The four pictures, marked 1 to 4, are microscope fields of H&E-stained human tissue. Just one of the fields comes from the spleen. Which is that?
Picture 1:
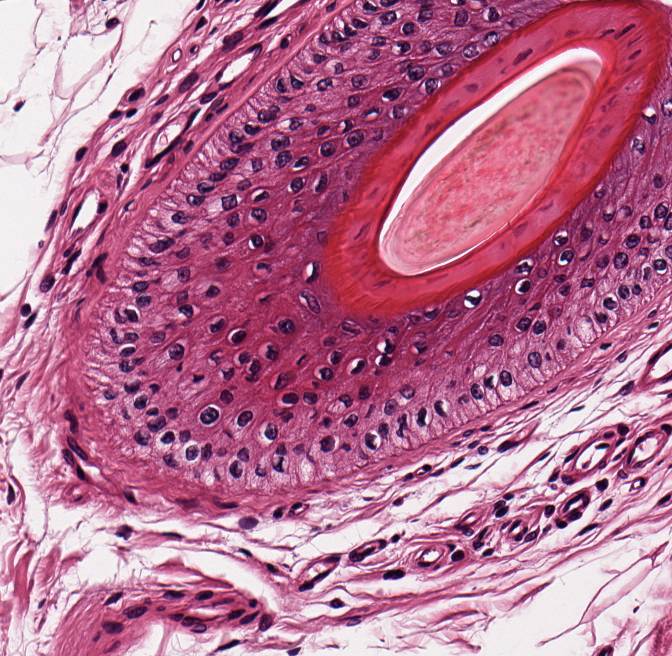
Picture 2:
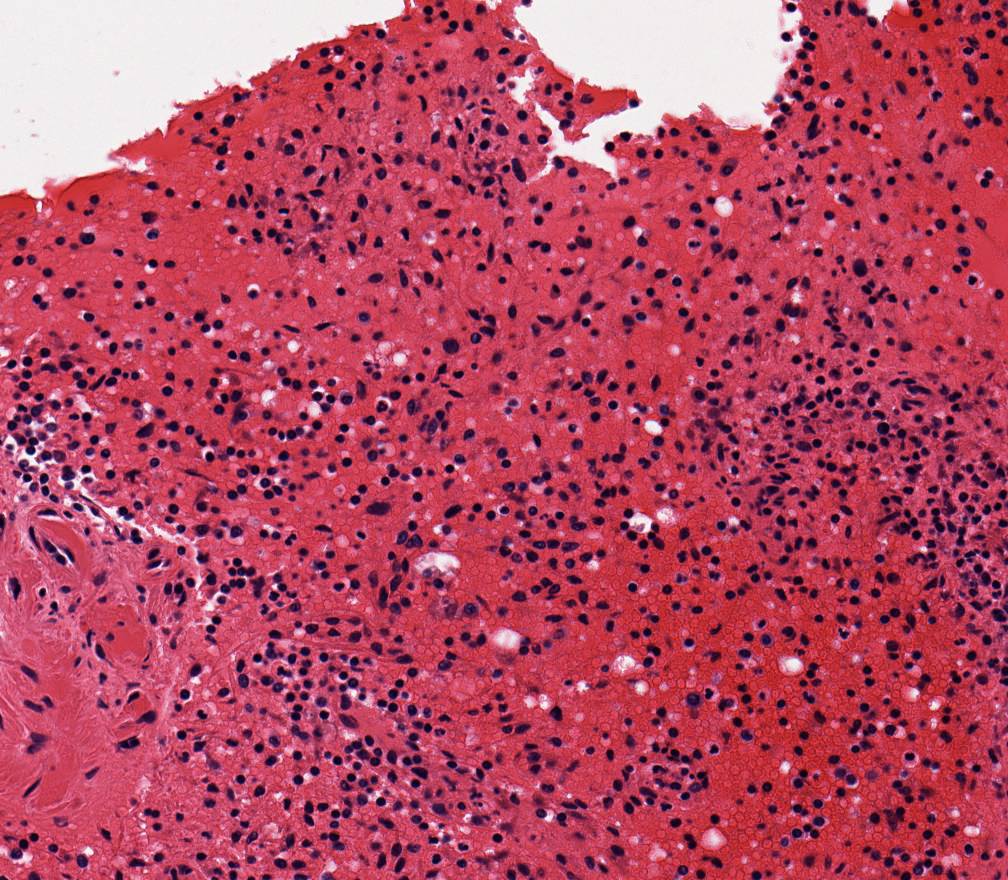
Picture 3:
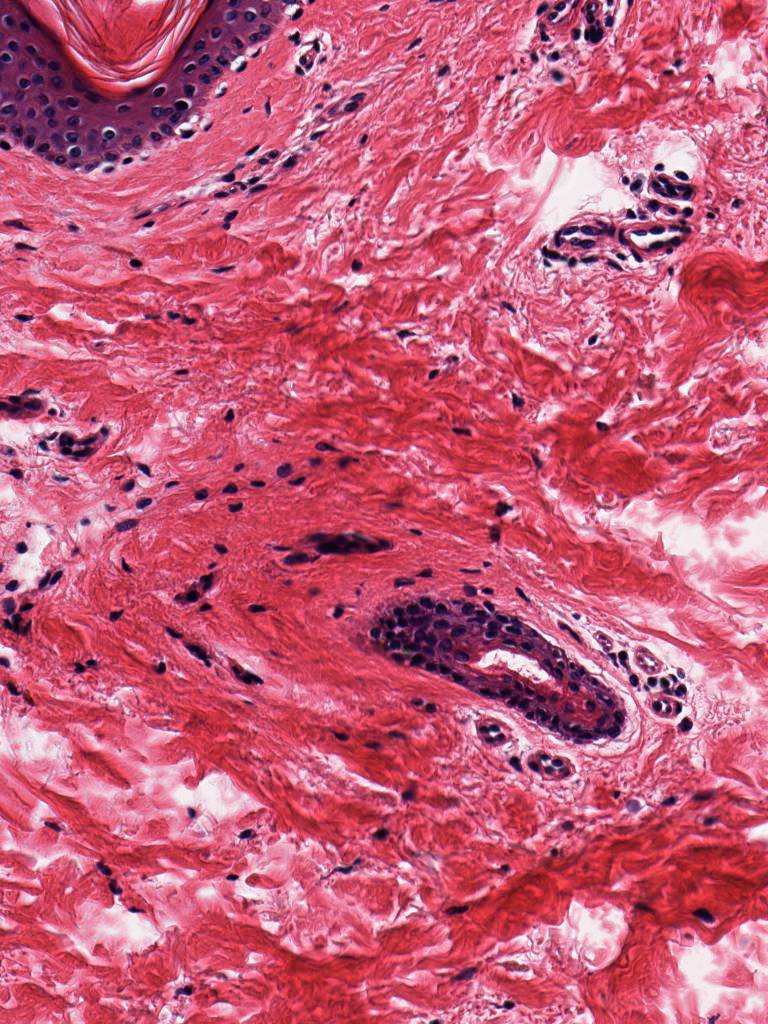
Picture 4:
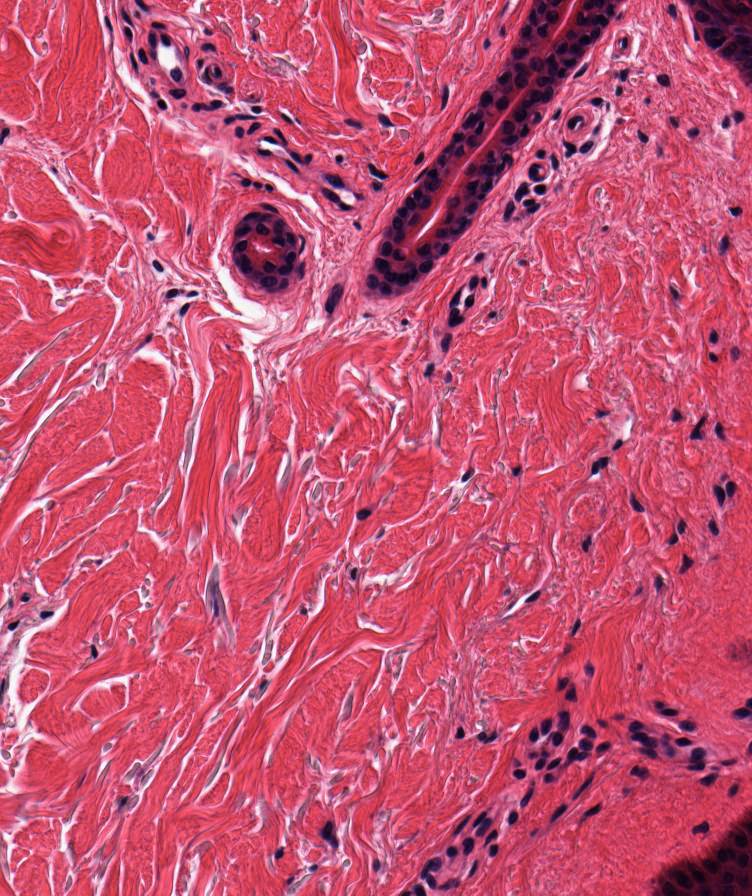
2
